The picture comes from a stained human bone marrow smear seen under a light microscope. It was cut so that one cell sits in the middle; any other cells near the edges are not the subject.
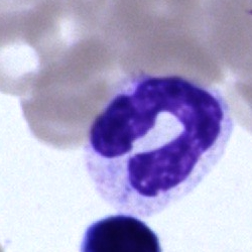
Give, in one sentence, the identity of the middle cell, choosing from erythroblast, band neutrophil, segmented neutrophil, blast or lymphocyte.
The cell featured at the centre of this crop is a band neutrophil.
